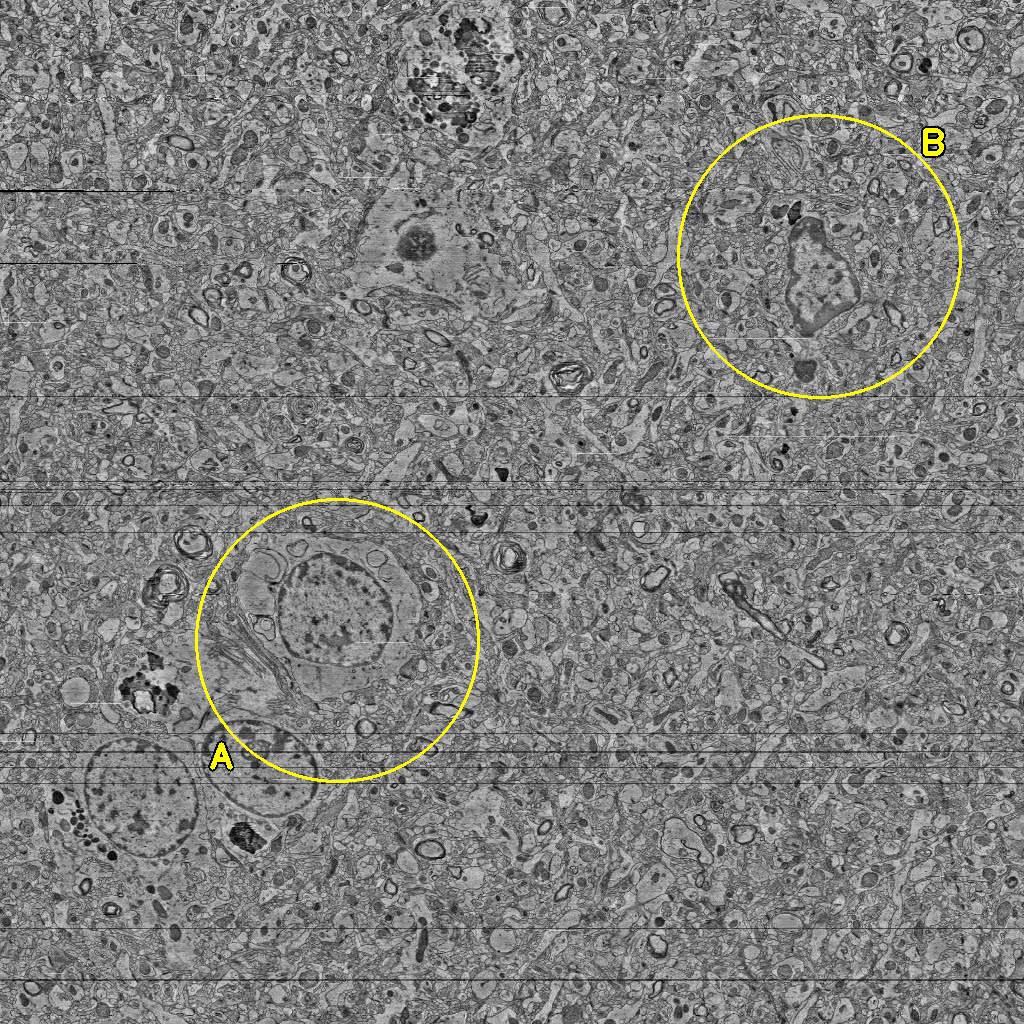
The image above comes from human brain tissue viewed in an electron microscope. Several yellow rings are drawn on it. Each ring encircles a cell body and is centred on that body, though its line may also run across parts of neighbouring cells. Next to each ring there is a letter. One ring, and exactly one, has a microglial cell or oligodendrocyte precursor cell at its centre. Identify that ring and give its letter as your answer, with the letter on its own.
B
